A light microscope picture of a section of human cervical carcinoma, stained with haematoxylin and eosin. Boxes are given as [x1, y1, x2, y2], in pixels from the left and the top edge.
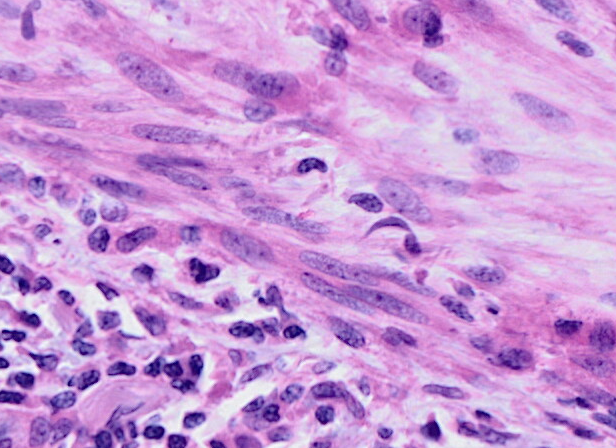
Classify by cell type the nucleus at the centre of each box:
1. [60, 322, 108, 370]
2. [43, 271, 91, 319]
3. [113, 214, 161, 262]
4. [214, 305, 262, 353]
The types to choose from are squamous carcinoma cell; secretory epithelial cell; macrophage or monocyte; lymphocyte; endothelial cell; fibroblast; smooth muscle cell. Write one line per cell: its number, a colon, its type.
1: lymphocyte
2: lymphocyte
3: macrophage or monocyte
4: lymphocyte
